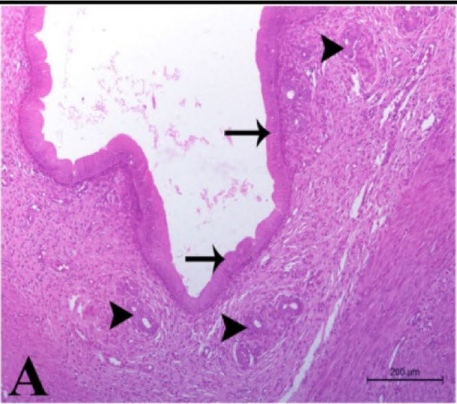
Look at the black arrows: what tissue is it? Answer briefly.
Simple columnar layer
